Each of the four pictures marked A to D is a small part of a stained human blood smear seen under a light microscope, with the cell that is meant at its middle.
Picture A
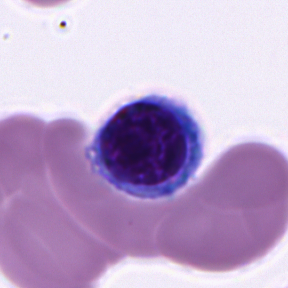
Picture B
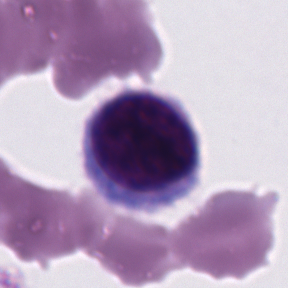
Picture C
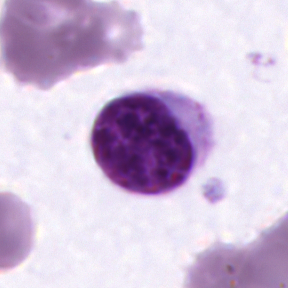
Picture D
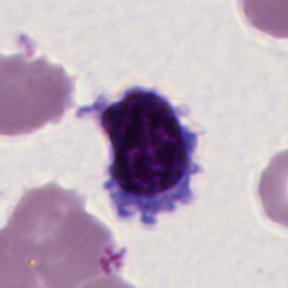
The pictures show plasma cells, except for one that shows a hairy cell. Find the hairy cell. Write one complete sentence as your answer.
Picture B is the one that shows the hairy cell.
